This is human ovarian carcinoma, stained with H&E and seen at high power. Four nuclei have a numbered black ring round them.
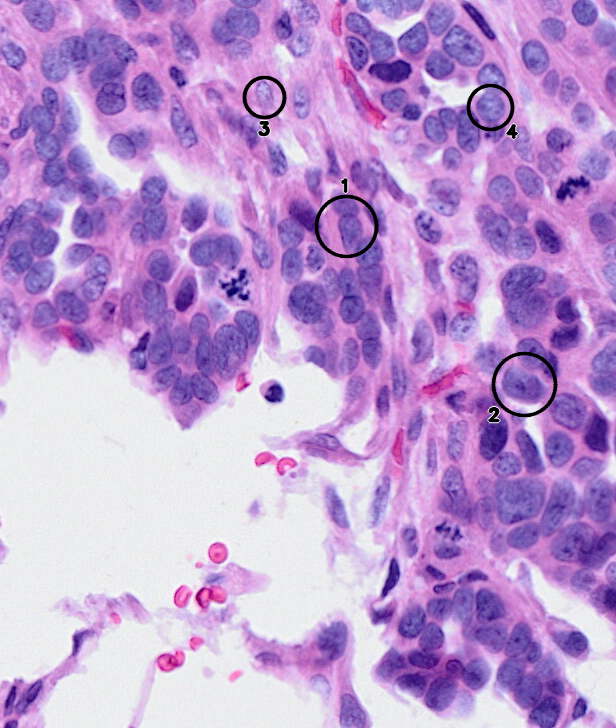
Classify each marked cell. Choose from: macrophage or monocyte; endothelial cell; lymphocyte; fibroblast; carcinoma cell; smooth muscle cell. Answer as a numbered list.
1. carcinoma cell
2. carcinoma cell
3. fibroblast
4. carcinoma cell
